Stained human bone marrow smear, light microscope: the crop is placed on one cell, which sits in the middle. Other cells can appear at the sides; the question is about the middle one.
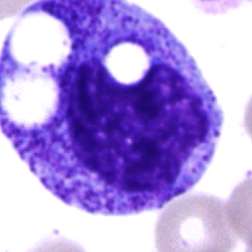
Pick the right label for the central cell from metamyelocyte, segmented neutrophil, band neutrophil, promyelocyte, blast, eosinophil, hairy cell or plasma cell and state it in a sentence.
Standing at the centre of this crop is a promyelocyte.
